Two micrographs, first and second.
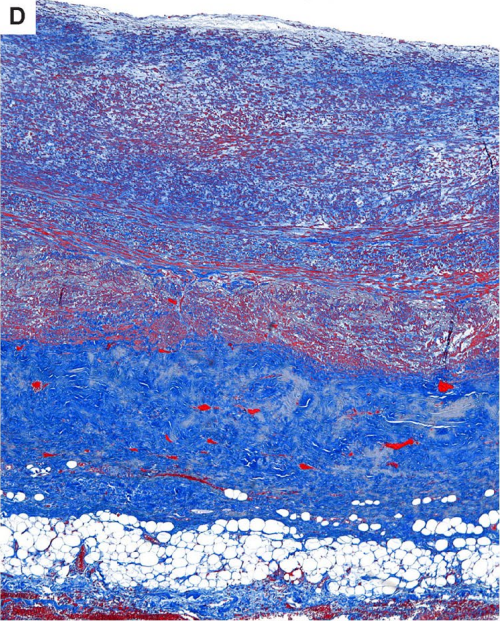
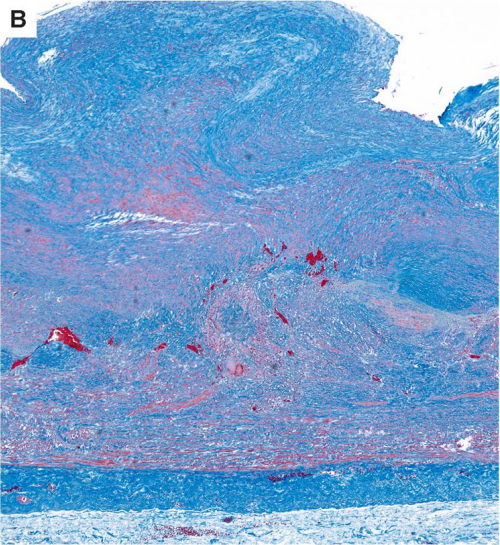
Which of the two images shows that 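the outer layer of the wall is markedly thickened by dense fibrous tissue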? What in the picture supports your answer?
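First image: a broad dense blue fibrous band occupies much of the lower wall above the fat. Second image: the blue outer band at the bottom of the wall is comparatively thin. On this evidence: the first image.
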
